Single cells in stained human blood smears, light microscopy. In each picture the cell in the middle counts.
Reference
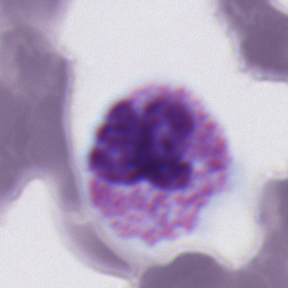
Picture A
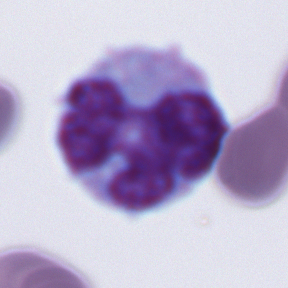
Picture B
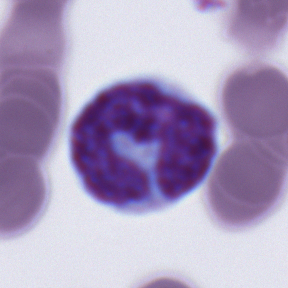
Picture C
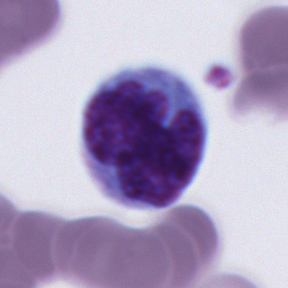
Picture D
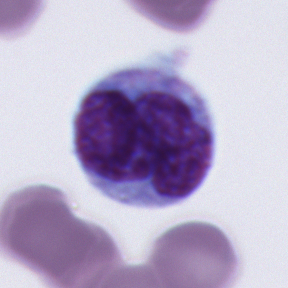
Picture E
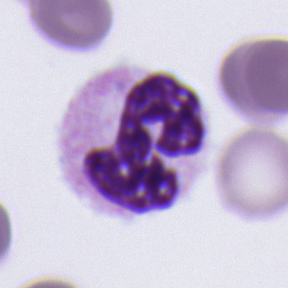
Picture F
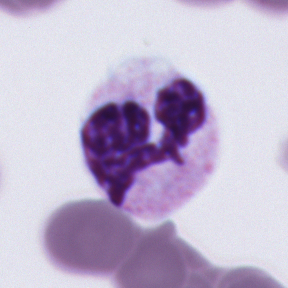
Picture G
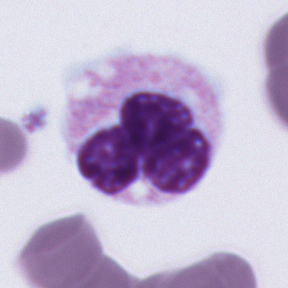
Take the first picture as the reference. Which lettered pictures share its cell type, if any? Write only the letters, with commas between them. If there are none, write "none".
E, F, G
